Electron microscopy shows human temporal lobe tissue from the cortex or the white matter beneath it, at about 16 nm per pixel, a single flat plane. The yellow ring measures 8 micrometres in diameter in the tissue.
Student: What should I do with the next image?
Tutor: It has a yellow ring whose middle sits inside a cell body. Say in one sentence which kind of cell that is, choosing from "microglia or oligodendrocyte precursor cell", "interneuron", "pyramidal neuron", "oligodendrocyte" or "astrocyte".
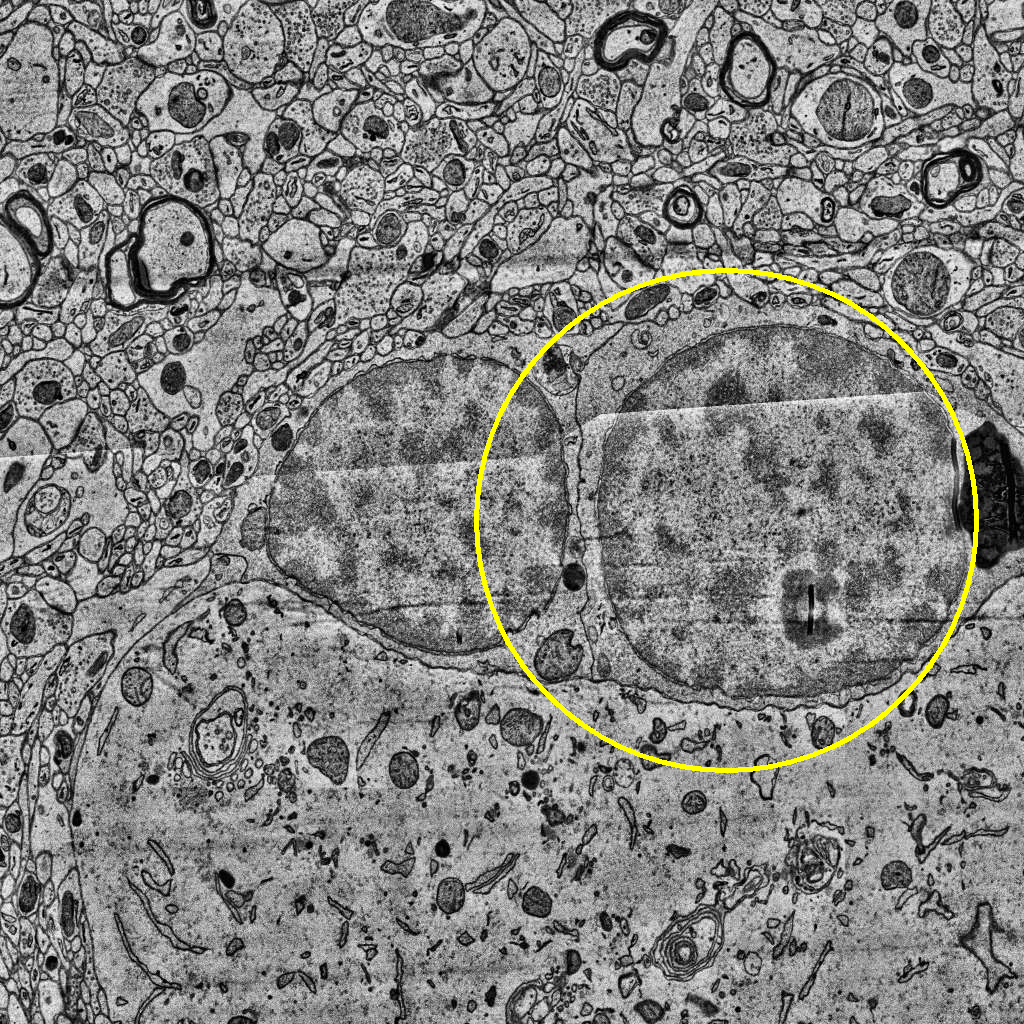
The ring's centre is occupied by an oligodendrocyte.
